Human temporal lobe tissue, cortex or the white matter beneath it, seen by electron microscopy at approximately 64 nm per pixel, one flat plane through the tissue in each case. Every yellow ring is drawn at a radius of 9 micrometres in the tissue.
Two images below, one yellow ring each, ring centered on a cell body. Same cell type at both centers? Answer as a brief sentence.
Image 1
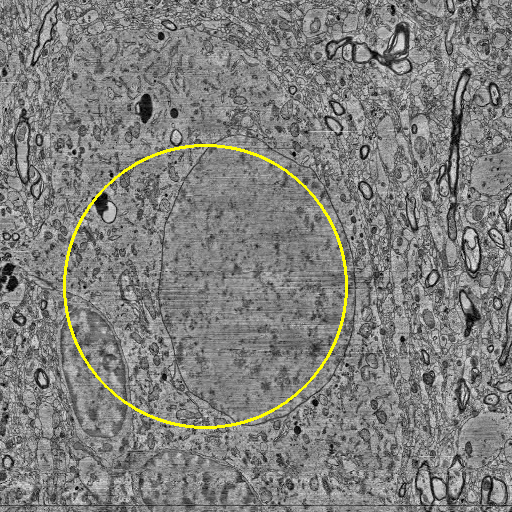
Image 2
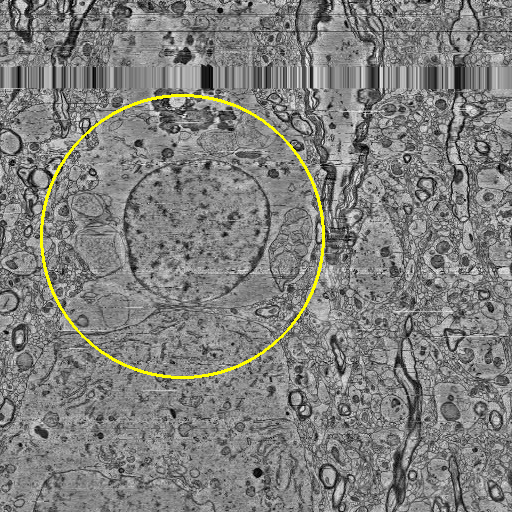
No, the cells are of two separate types.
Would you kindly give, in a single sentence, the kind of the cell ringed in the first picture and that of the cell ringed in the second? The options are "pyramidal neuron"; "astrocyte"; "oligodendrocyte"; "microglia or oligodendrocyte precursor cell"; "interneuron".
The second cell is an astrocyte, and the first cell is a pyramidal neuron.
